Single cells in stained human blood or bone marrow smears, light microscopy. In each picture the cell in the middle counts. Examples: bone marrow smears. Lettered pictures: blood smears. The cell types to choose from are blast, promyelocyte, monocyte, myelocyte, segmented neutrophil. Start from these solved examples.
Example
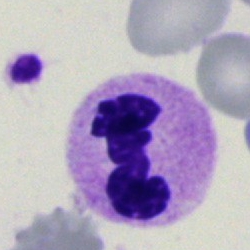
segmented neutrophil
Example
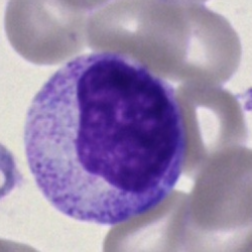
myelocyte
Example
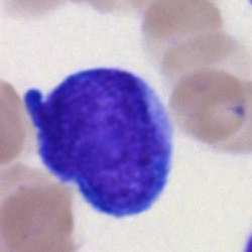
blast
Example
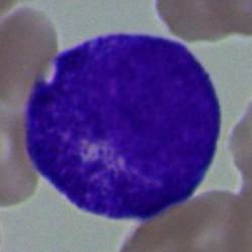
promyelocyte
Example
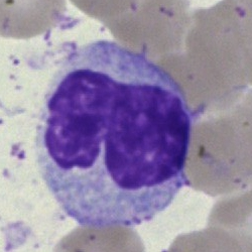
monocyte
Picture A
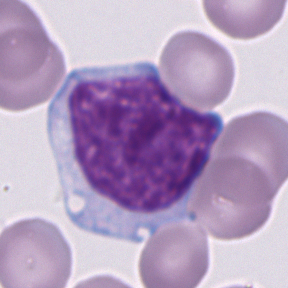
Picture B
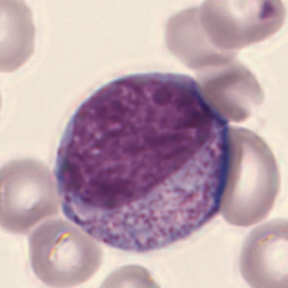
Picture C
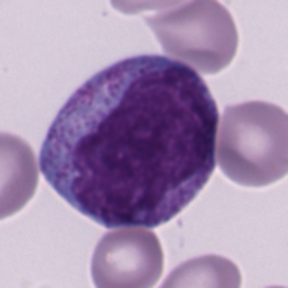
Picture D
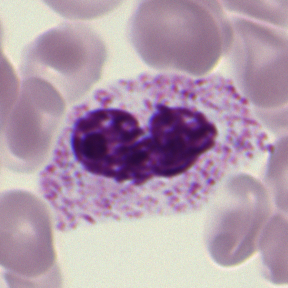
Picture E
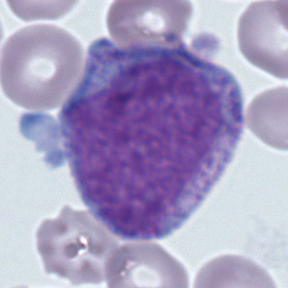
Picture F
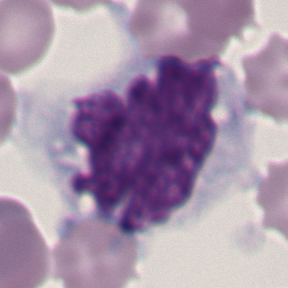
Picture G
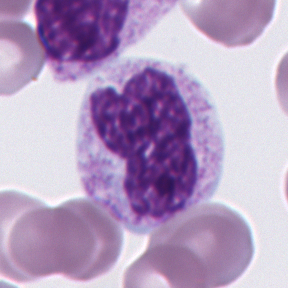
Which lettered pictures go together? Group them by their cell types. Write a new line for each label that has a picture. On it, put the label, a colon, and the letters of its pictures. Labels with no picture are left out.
blast: A
promyelocyte: B, C, E
monocyte: F
segmented neutrophil: D, G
